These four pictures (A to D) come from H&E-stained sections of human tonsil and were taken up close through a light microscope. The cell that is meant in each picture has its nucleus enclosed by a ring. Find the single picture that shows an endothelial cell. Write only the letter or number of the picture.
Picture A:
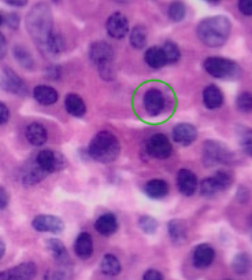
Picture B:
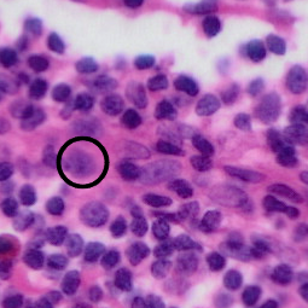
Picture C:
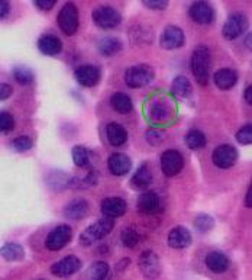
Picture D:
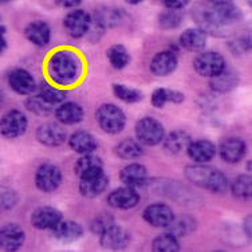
B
